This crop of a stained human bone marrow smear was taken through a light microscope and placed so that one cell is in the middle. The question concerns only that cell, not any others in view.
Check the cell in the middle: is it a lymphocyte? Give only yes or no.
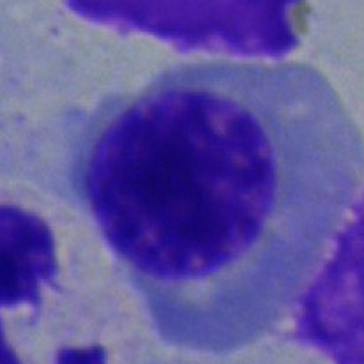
no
